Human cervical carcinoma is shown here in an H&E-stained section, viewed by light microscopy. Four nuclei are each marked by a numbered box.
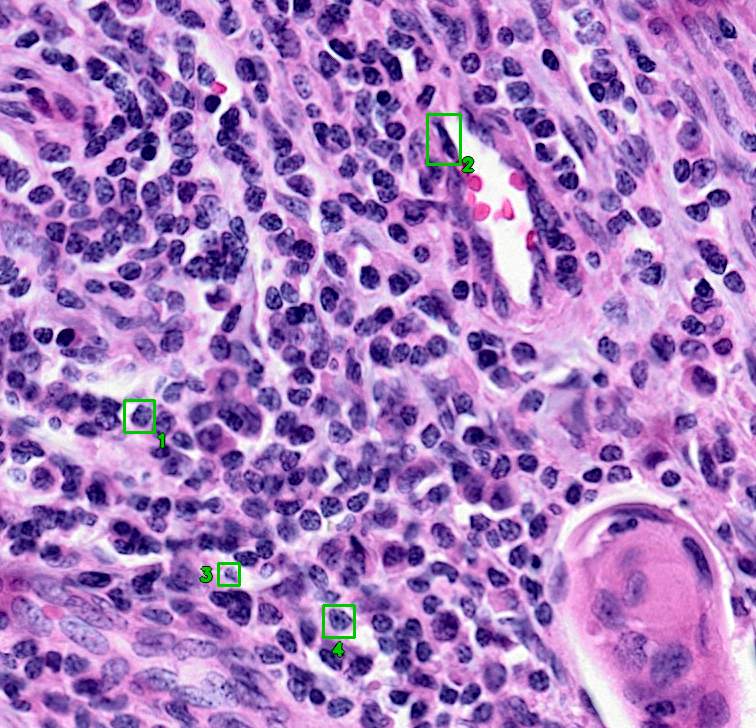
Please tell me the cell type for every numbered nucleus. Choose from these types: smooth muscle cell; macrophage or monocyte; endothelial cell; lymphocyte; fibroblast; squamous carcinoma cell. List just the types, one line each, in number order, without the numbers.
lymphocyte
endothelial cell
lymphocyte
lymphocyte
